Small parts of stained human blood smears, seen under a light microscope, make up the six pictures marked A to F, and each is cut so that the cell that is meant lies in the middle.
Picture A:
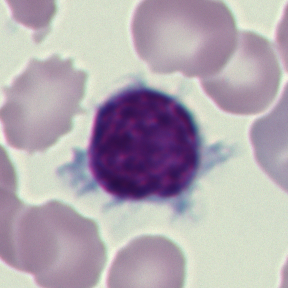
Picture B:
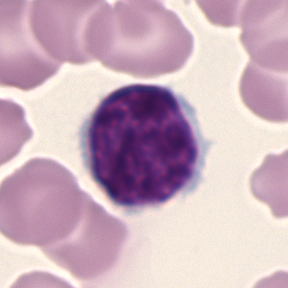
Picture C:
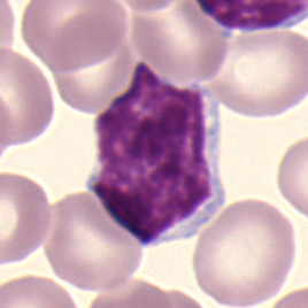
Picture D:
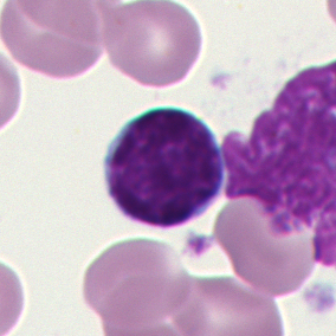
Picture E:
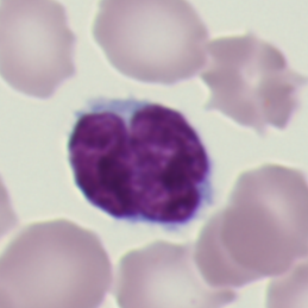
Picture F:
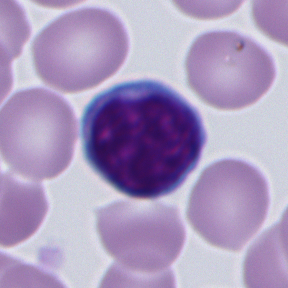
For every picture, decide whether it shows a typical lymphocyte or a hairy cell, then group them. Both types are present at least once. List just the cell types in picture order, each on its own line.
hairy cell
hairy cell
typical lymphocyte
typical lymphocyte
hairy cell
typical lymphocyte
